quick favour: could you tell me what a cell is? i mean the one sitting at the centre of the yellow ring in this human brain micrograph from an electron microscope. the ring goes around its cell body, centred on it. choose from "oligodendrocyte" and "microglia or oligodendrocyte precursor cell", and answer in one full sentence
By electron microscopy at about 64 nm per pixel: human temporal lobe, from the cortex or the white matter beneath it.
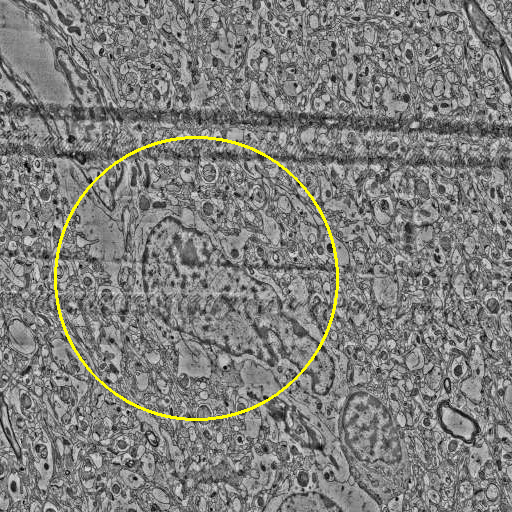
That's a microglial cell or oligodendrocyte precursor cell, the cell sitting at the centre of the yellow ring.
